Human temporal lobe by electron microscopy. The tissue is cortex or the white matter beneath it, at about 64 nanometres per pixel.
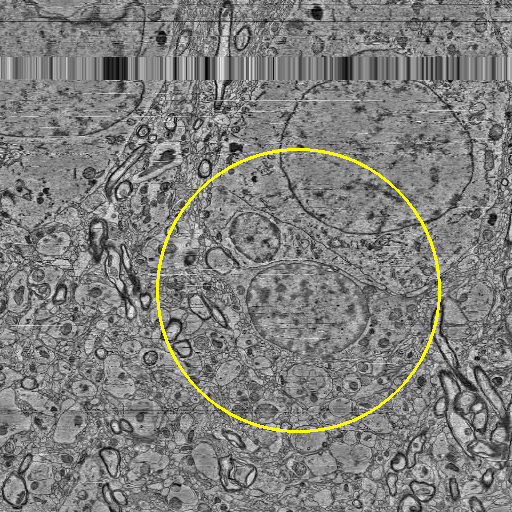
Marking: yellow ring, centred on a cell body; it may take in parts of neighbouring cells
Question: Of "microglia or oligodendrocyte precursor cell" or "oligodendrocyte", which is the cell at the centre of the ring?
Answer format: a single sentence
The ring surrounds the body of an oligodendrocyte.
